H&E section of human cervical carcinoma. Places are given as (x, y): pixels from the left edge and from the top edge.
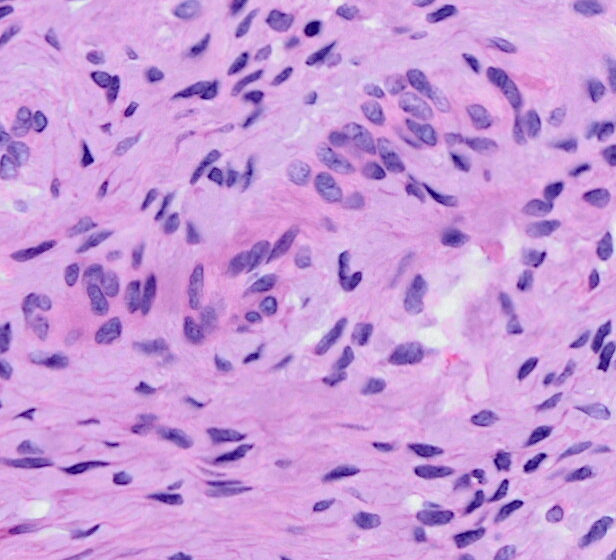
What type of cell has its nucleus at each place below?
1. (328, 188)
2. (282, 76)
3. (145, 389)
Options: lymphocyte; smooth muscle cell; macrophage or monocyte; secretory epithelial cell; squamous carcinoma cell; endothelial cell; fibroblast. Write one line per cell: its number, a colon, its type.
1: smooth muscle cell
2: fibroblast
3: fibroblast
